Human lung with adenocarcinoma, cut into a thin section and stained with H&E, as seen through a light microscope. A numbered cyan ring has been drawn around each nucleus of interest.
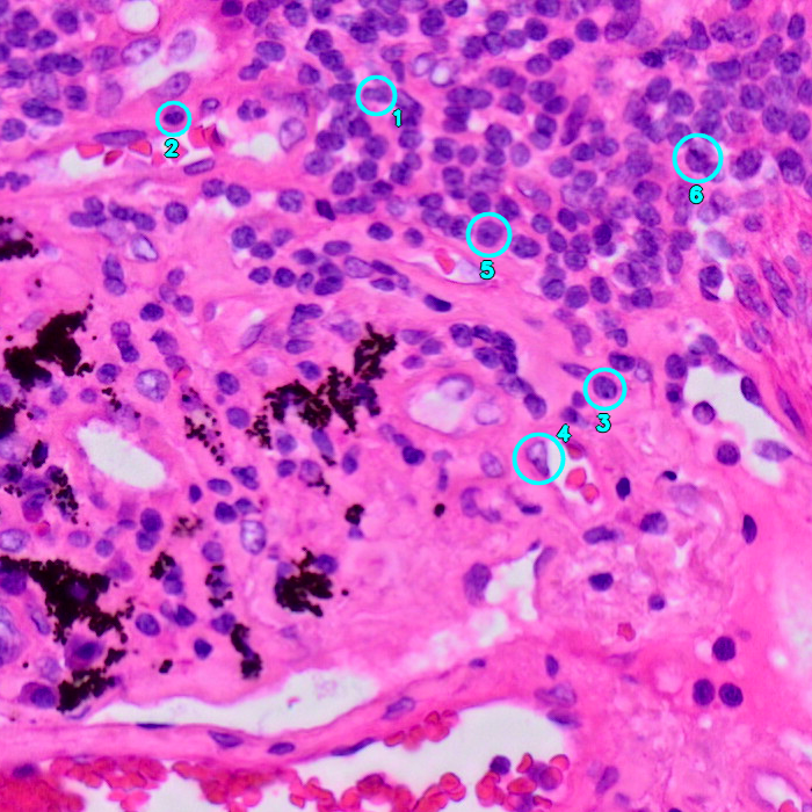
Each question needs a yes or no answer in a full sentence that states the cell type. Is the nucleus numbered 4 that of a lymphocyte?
No, cell 4 represents an endothelial cell rather than a lymphocyte.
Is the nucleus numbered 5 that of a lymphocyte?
Yes. The cell carrying number 5 is a lymphocyte.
